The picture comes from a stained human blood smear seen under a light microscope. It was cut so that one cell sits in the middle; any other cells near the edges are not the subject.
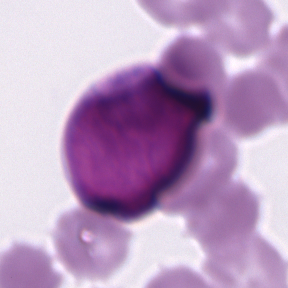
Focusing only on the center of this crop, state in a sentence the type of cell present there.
The cell in the exact centre of the crop is a myeloblast.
